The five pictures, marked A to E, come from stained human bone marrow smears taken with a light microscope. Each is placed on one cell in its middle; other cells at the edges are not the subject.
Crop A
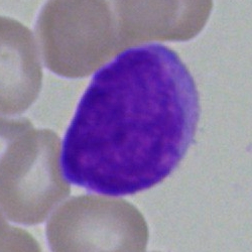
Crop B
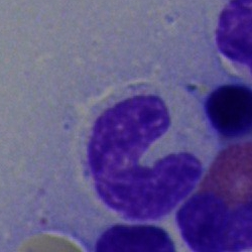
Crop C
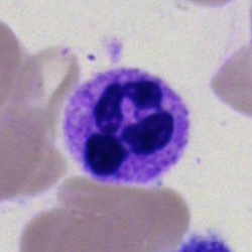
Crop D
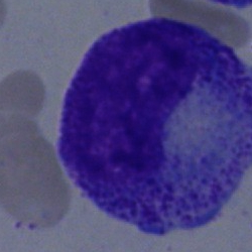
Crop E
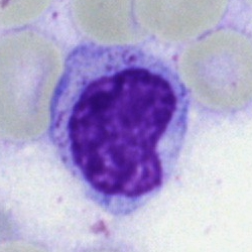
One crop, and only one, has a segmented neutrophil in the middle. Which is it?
C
